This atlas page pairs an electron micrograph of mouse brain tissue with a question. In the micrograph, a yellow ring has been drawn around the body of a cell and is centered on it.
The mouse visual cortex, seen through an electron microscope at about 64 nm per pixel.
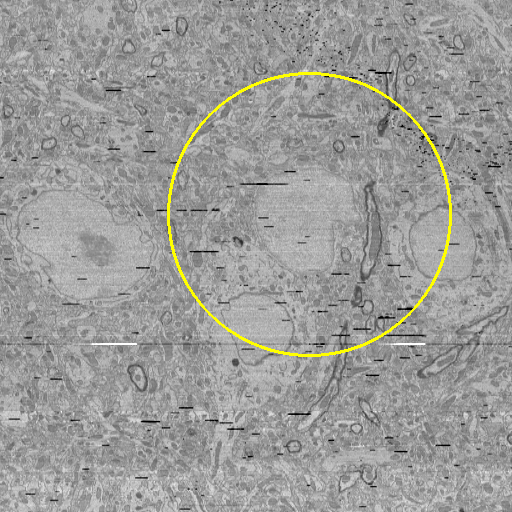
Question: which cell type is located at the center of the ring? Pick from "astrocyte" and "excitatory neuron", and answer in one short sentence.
Located at the center of the ring is an astrocyte.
